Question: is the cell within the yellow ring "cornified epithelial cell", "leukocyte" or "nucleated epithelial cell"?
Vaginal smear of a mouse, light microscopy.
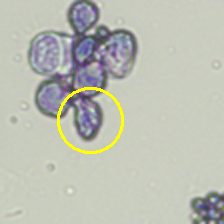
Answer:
nucleated epithelial cell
